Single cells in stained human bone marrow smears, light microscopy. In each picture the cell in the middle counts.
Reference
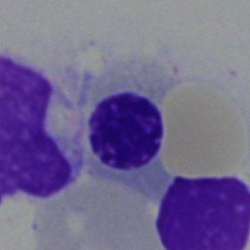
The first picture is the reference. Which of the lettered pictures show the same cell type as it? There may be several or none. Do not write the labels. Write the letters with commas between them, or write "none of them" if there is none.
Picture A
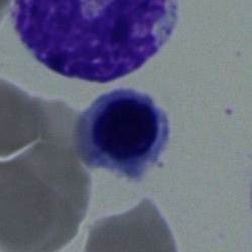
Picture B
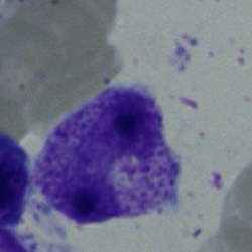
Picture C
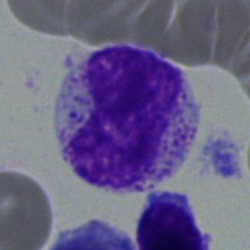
A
